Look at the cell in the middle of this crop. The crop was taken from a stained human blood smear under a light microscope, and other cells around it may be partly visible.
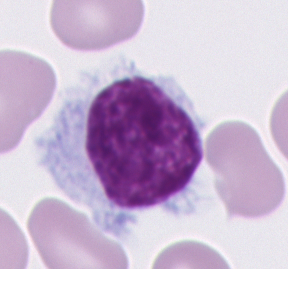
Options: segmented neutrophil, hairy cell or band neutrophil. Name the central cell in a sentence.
Occupying the centre of the crop is a hairy cell.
